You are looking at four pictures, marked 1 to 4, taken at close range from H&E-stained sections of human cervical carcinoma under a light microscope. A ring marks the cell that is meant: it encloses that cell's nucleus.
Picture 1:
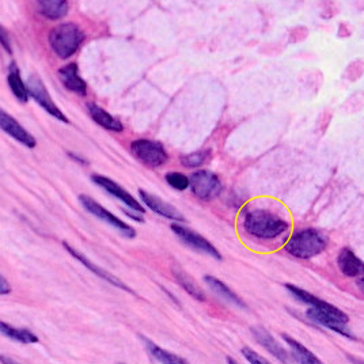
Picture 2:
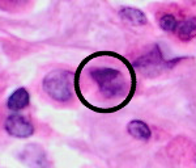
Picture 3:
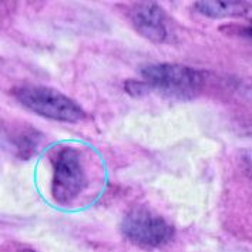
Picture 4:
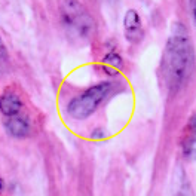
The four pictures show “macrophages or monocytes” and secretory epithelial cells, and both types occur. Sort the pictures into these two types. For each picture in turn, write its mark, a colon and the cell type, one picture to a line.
1: secretory epithelial cell
2: macrophage or monocyte
3: macrophage or monocyte
4: macrophage or monocyte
